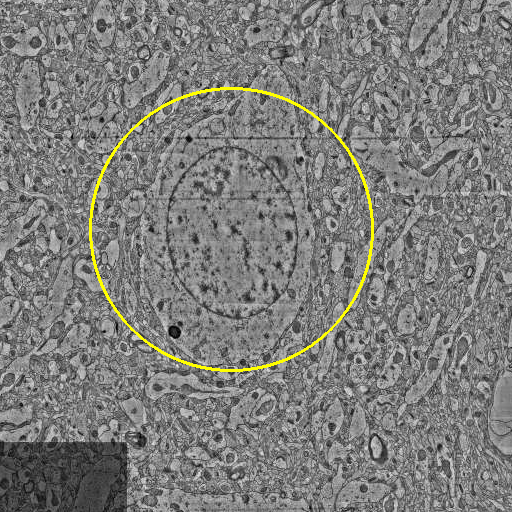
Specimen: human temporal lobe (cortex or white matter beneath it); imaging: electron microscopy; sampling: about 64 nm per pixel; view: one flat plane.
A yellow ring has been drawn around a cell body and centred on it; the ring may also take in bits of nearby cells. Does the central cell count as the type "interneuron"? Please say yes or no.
no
